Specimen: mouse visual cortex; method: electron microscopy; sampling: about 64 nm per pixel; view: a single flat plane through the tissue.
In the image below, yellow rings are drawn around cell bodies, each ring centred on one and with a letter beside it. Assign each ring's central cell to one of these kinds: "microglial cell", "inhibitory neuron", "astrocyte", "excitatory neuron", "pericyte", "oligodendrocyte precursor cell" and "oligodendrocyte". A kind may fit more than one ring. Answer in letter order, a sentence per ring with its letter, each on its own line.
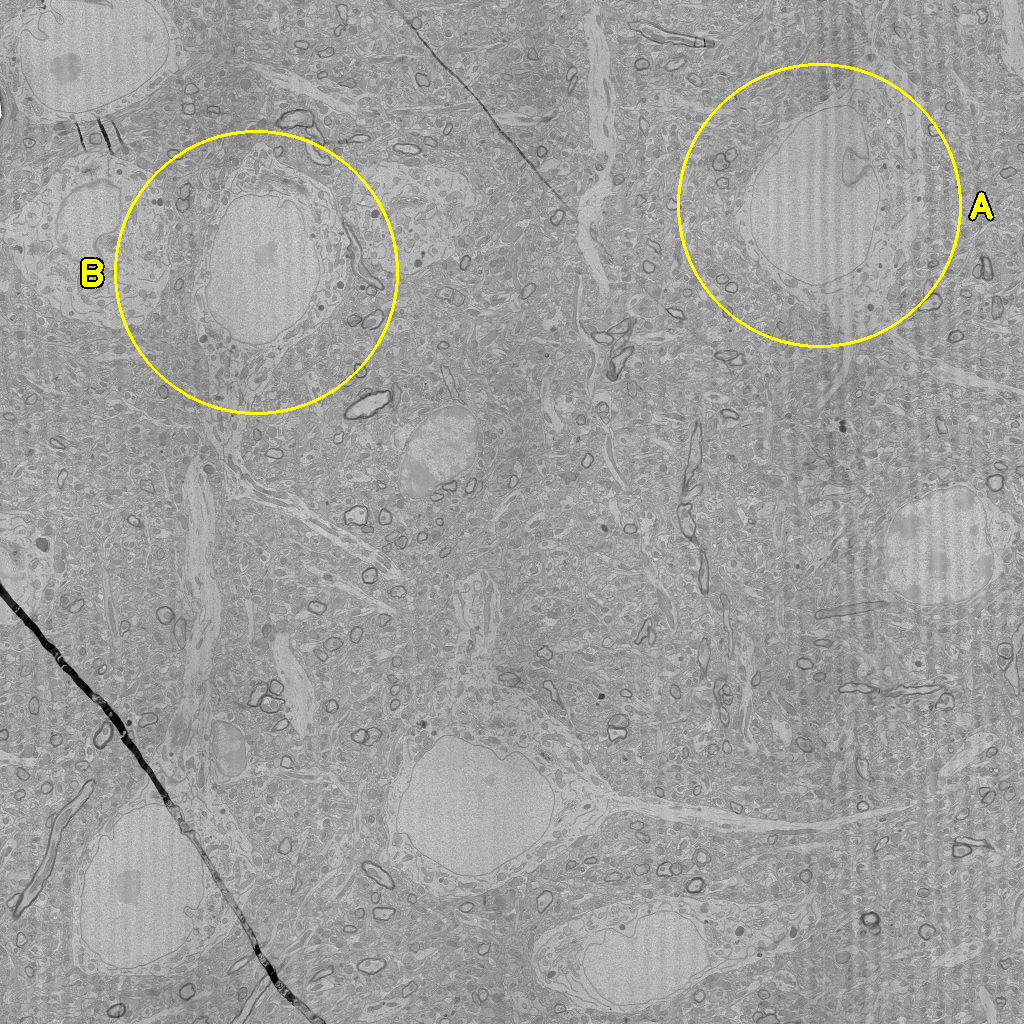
The central cell of ring A is an excitatory neuron.
The central cell of ring B is an inhibitory neuron.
